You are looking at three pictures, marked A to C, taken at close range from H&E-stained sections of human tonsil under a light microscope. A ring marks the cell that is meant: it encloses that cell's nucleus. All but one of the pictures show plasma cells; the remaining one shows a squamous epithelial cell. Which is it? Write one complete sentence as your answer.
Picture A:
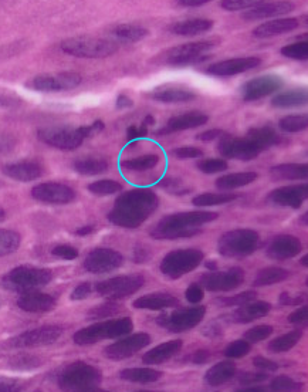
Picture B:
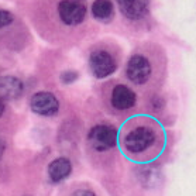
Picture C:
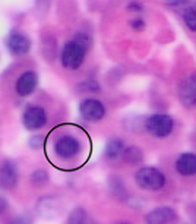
The picture with the squamous epithelial cell is A.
